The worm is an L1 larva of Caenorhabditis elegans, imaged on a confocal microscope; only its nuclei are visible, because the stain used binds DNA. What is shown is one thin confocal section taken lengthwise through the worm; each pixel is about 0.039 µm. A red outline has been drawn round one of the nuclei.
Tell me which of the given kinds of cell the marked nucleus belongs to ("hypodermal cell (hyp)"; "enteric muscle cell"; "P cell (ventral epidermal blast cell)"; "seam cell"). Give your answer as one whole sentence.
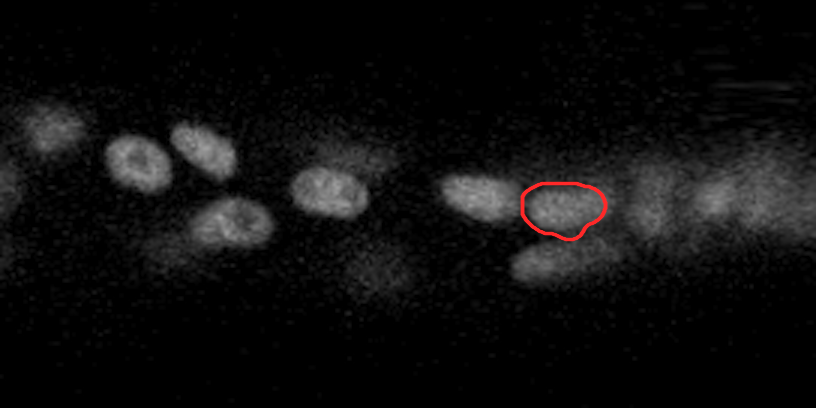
This nucleus is from a P cell (ventral epidermal blast cell).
